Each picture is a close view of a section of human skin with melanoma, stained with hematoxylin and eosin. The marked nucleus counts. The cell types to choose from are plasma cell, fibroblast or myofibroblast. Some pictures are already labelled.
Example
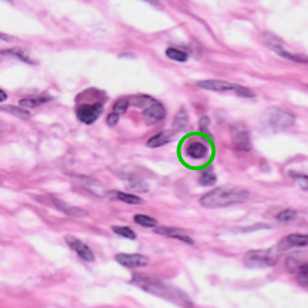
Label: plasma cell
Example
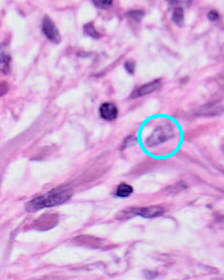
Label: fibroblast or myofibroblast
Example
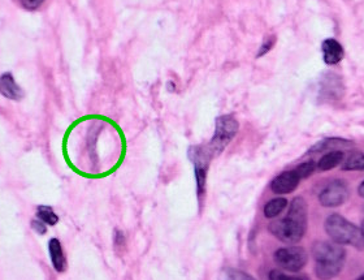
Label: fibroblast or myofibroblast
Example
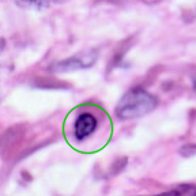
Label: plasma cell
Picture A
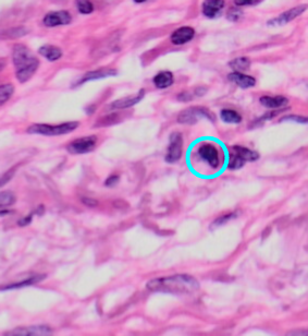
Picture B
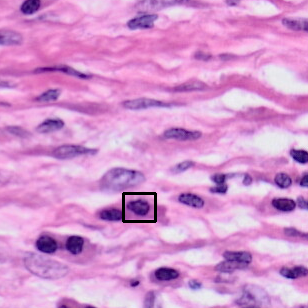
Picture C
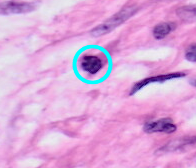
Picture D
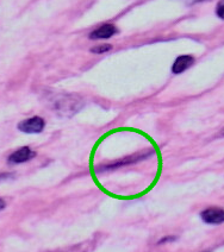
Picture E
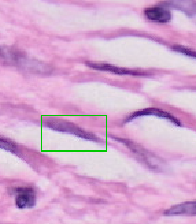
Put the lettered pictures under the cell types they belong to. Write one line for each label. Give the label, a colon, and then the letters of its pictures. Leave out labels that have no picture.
plasma cell: A, B, C
fibroblast or myofibroblast: D, E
